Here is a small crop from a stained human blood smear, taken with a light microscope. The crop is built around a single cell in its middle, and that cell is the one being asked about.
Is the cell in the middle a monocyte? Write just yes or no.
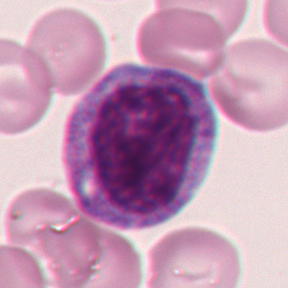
no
